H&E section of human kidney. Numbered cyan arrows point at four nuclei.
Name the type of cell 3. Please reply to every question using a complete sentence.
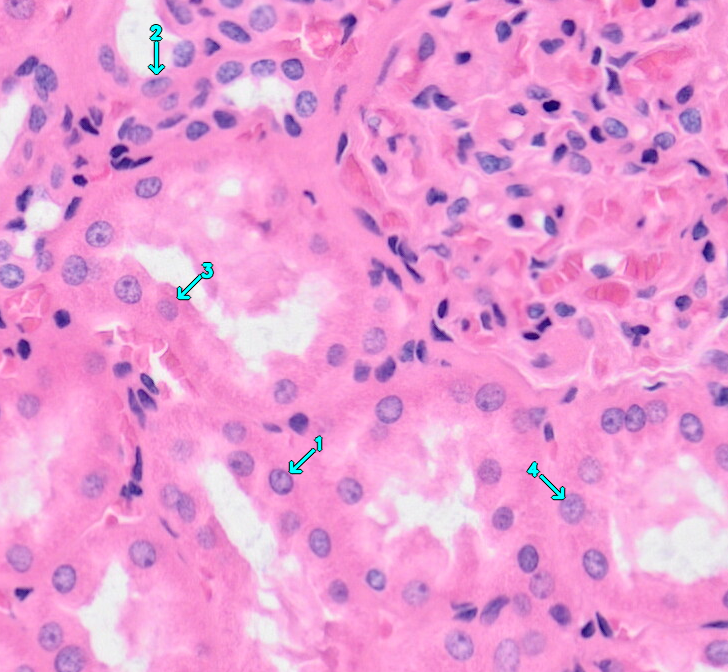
To a proximal tubule cell belongs the nucleus marked 3.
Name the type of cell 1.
The nucleus labelled 1 belongs to a proximal tubule cell.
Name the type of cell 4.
The nucleus with number 4 is that of a proximal tubule cell.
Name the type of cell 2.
Number 2 is placed on a collecting duct cell here.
